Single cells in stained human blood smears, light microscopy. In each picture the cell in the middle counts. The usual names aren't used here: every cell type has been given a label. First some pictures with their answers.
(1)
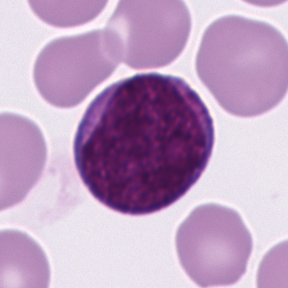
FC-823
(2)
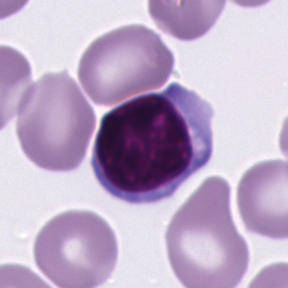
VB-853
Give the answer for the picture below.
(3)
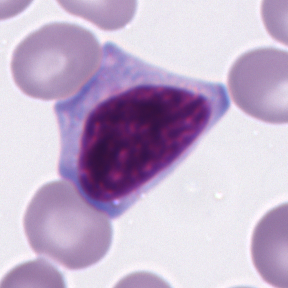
VB-853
